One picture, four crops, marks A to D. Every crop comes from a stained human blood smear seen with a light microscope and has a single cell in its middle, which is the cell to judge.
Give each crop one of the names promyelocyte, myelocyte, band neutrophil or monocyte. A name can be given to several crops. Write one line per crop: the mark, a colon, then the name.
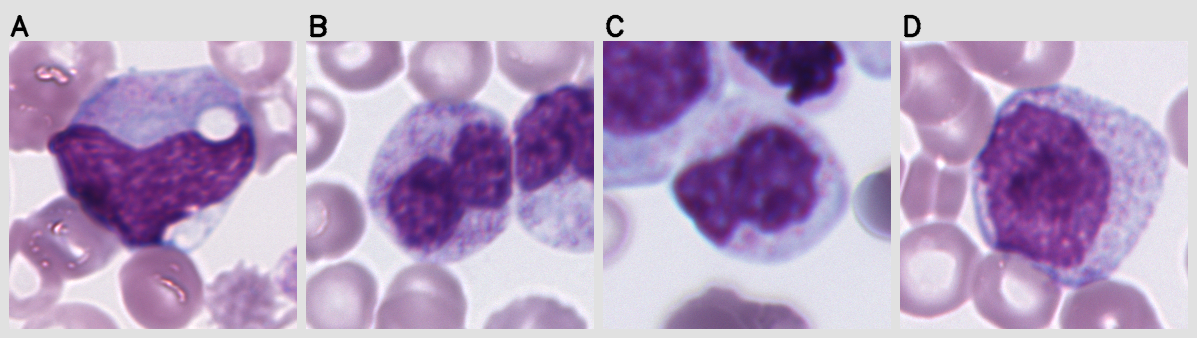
A: monocyte
B: band neutrophil
C: band neutrophil
D: promyelocyte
